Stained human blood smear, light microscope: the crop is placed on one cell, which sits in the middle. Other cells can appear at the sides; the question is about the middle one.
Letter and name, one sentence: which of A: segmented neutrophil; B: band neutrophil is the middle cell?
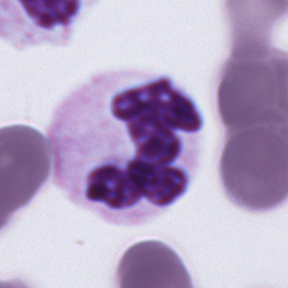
Option A is the correct selection, for the cell at the centre is a segmented neutrophil.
